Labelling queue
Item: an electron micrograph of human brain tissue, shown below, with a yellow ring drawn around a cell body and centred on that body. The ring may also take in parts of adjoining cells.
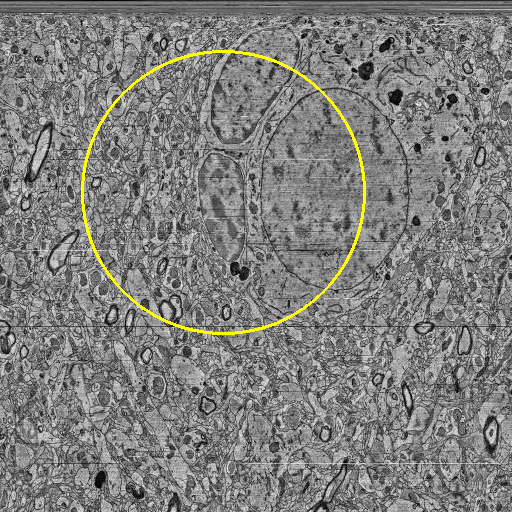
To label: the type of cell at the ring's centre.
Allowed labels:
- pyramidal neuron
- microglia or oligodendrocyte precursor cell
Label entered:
microglia or oligodendrocyte precursor cell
